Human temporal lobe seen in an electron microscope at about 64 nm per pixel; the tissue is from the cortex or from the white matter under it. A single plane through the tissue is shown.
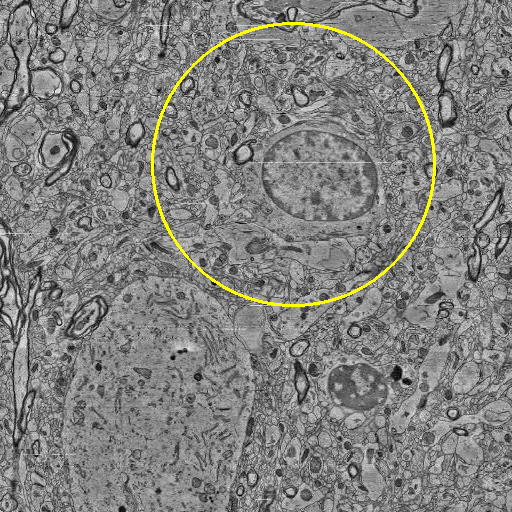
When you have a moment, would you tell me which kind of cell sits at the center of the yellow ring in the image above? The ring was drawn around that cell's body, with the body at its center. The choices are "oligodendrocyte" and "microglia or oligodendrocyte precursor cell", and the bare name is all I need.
oligodendrocyte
